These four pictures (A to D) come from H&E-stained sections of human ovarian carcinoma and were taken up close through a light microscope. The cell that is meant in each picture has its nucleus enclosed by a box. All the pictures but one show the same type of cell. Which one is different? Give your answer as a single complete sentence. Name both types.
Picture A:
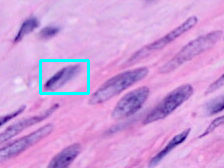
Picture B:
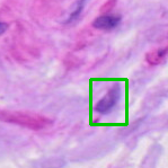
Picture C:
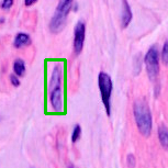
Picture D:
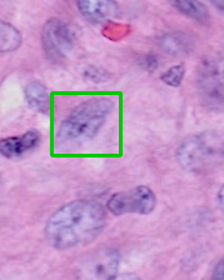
Picture C differs, because its cell is a smooth muscle cell and the rest are fibroblasts.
